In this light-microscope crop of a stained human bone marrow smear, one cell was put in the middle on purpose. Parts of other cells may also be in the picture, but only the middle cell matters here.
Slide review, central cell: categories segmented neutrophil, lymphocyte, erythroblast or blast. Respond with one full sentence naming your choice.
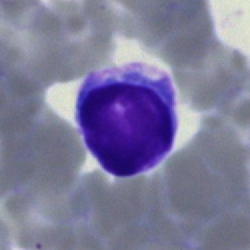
Here the cell in the middle is a lymphocyte.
